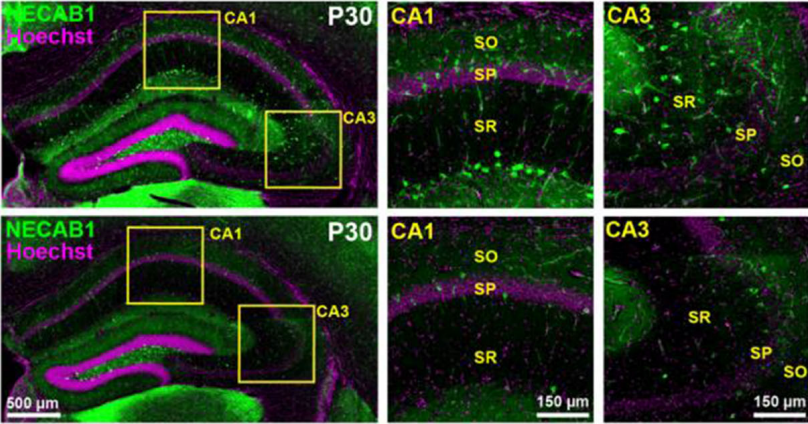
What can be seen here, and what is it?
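Magenta nuclei outline a curved pyramidal cell layer running through the two boxed fields and a bright V-shaped granule cell layer of the dentate gyrus. In the upper section, numerous small green cell bodies with short processes lie singly in the layers above and below the pyramidal layer and within it, and are especially dense in the lower-right field.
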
